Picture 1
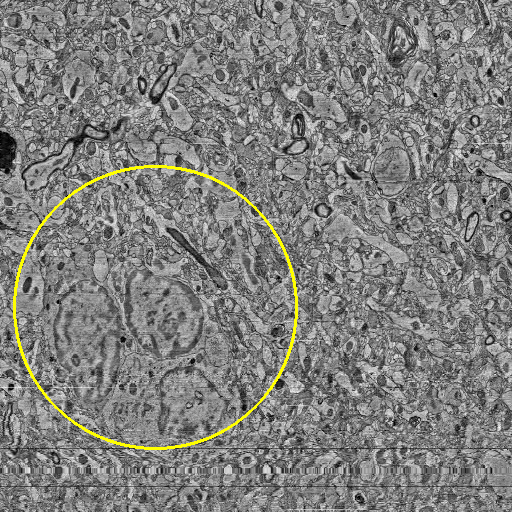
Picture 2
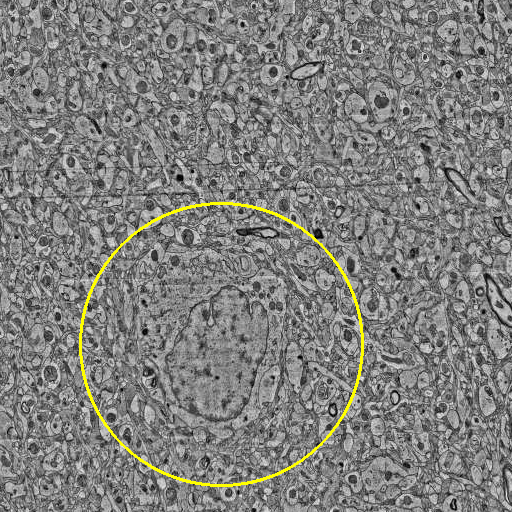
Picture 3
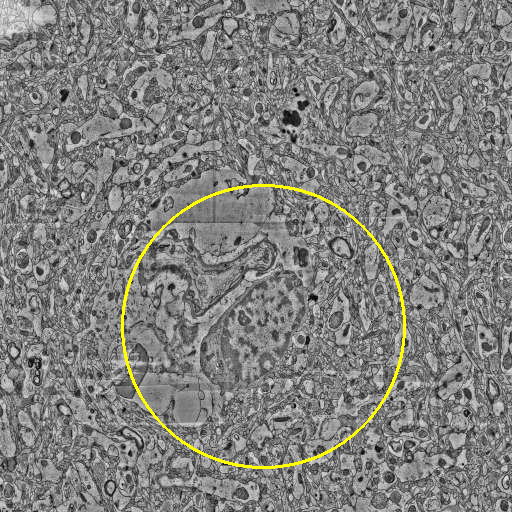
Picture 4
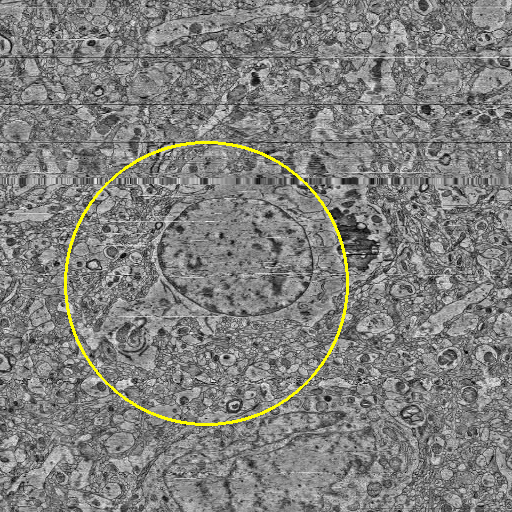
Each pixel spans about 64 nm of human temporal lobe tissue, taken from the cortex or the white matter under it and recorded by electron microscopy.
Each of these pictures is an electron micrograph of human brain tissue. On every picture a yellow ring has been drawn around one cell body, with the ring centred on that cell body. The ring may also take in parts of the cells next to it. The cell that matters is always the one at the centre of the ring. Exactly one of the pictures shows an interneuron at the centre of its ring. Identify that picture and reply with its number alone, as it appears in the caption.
2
